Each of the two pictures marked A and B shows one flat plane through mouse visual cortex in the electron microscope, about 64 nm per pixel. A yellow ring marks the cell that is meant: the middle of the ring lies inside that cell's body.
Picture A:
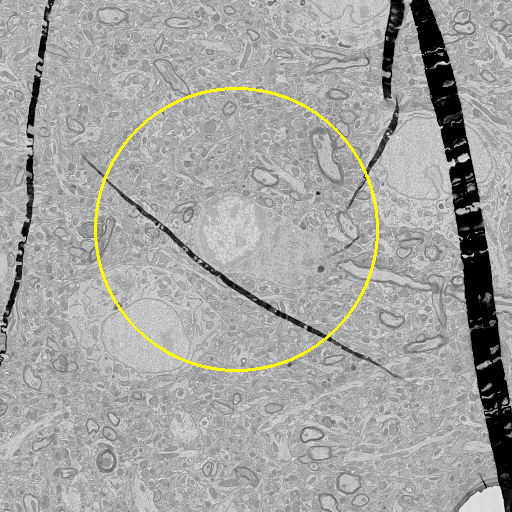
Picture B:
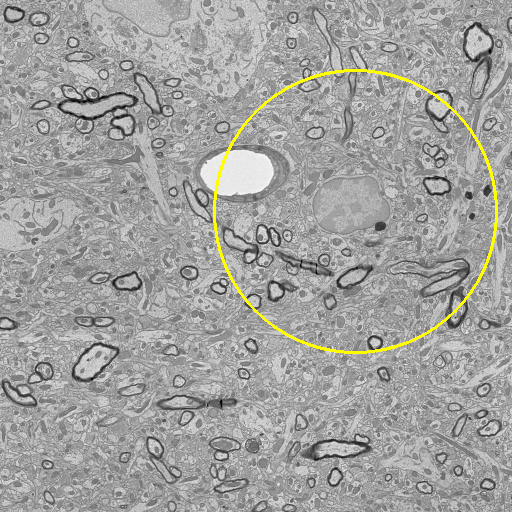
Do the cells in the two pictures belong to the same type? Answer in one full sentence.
No, picture A shows an oligodendrocyte and picture B shows a microglial cell.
